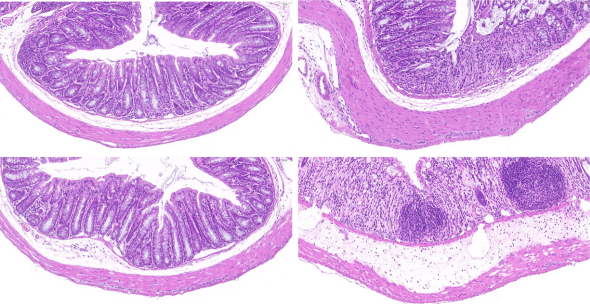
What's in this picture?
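These are four cross-sections of colon wall stained pink and purple. In the two left images the mucosa is built of regular, closely packed straight crypts lined by columnar epithelium rich in pale goblet cells, resting on a thin submucosa and a pink smooth-muscle coat. In the two right images the orderly crypts are largely lost, and the mucosa is instead crowded with densely purple, small nucleated cells. In the lower right image there are also dense round cell aggregates, and the submucosa beneath them is widened and loose.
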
